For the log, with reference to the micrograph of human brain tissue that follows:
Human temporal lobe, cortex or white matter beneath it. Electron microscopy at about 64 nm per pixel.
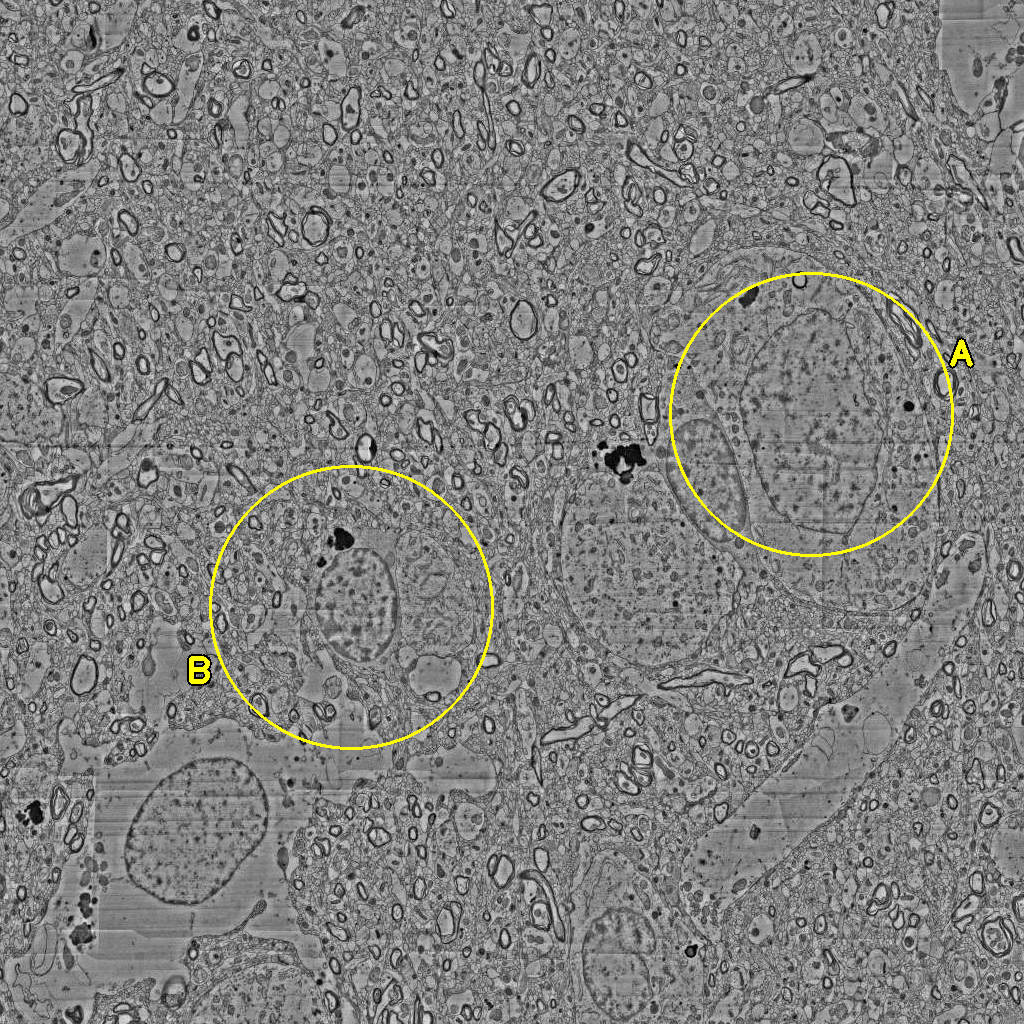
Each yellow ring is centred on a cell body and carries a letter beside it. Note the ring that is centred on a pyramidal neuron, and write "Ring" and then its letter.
Ring A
